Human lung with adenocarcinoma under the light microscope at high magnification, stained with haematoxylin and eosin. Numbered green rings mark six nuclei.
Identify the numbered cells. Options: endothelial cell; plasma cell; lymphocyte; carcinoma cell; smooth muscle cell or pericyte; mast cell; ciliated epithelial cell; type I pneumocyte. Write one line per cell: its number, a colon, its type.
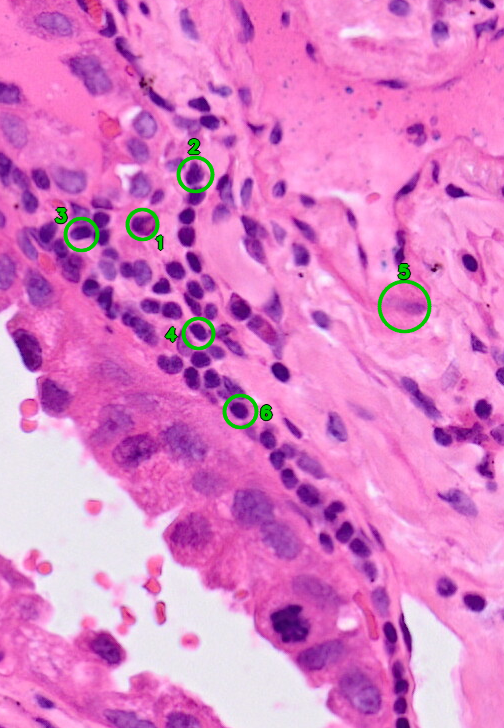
1: plasma cell
2: lymphocyte
3: lymphocyte
4: lymphocyte
5: smooth muscle cell or pericyte
6: lymphocyte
